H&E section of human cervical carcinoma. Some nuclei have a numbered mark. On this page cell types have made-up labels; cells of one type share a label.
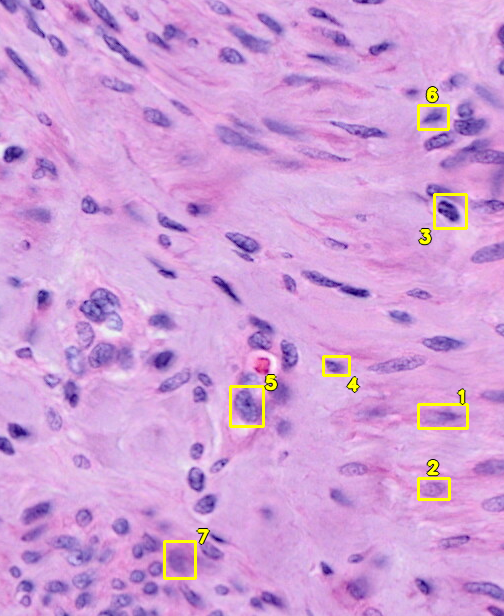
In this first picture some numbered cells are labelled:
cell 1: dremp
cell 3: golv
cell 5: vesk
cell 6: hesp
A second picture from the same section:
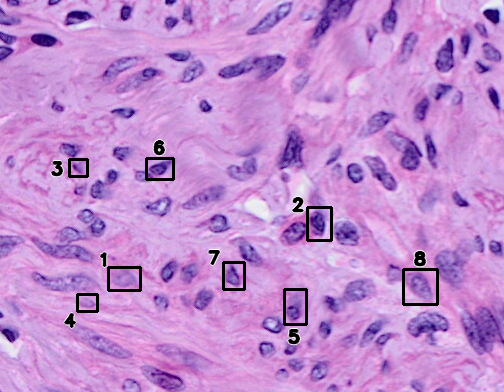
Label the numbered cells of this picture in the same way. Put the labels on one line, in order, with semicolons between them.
dremp; golv; dremp; dremp; dremp; hesp; dremp; vesk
